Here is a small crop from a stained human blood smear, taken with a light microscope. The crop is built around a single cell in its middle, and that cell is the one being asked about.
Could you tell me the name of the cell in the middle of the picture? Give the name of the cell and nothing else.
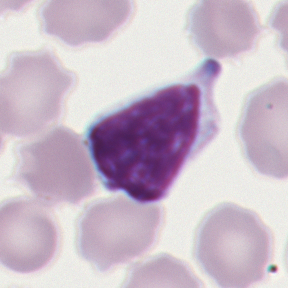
typical lymphocyte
